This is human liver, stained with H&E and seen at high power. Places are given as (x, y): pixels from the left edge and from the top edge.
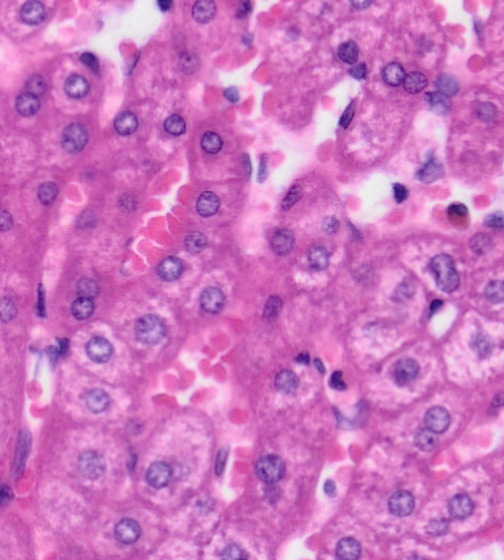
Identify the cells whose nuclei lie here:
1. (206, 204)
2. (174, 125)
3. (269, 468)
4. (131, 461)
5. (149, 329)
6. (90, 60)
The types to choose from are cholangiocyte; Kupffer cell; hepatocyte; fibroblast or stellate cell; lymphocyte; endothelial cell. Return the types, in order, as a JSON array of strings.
["hepatocyte", "hepatocyte", "hepatocyte", "fibroblast or stellate cell", "hepatocyte", "fibroblast or stellate cell"]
